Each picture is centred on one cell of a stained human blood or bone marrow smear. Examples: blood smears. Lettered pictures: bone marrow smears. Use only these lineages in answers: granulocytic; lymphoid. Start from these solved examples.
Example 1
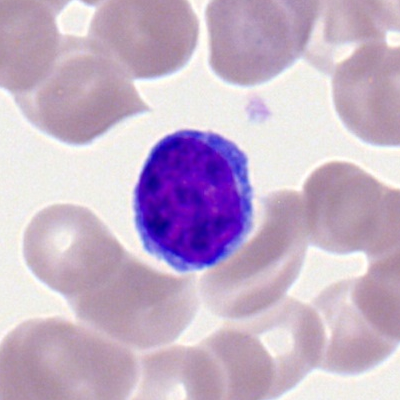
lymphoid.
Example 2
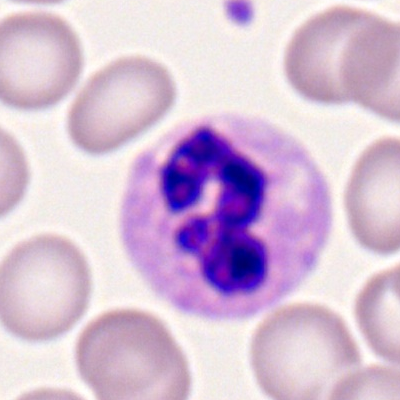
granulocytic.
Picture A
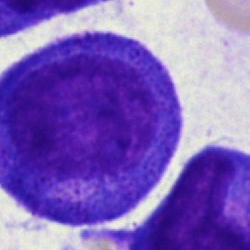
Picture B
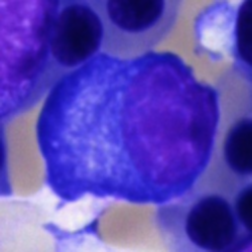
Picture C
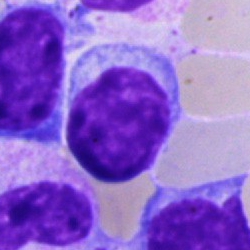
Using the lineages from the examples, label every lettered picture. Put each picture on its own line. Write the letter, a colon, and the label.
A: granulocytic.
B: lymphoid.
C: lymphoid.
